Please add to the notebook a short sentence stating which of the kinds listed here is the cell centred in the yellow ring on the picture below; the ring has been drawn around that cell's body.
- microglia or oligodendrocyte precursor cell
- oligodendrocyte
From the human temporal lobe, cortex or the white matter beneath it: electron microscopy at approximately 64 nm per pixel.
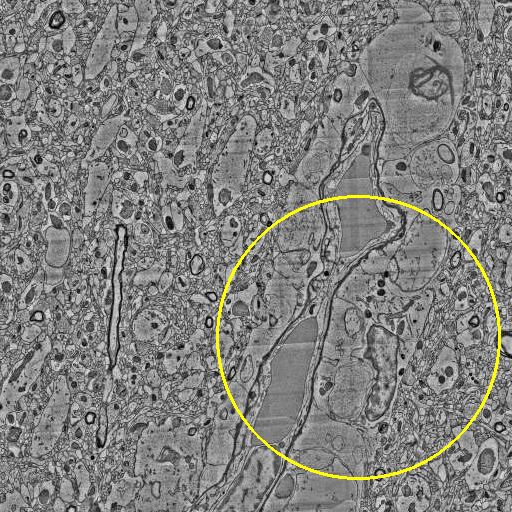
The cell centred in the yellow ring is a microglial cell or oligodendrocyte precursor cell.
